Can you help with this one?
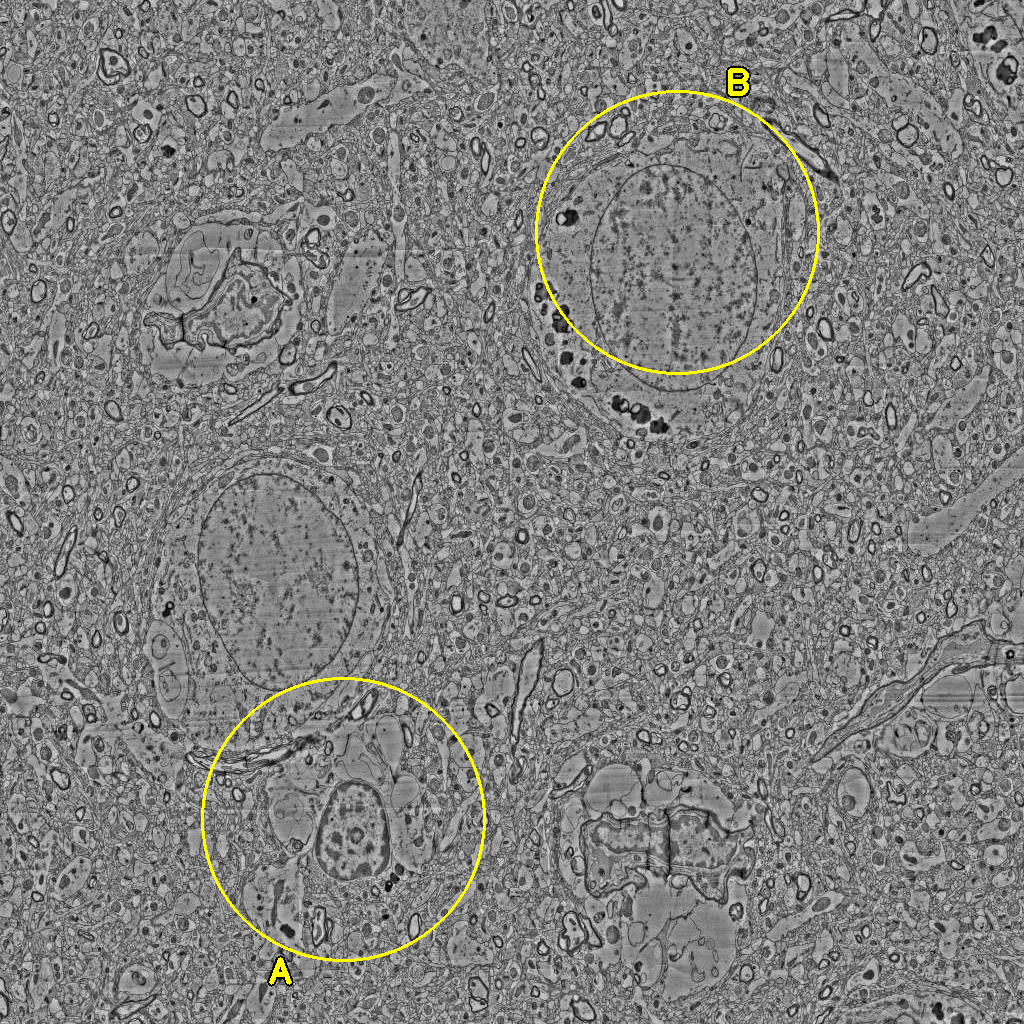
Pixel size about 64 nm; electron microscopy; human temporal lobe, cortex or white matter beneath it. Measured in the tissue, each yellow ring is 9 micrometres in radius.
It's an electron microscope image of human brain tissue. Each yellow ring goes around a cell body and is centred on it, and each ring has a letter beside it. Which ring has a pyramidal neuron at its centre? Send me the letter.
B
